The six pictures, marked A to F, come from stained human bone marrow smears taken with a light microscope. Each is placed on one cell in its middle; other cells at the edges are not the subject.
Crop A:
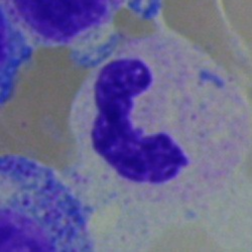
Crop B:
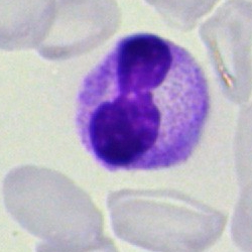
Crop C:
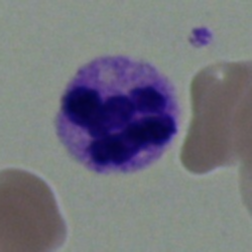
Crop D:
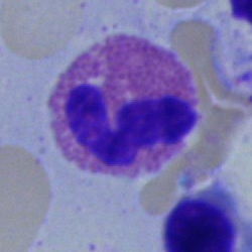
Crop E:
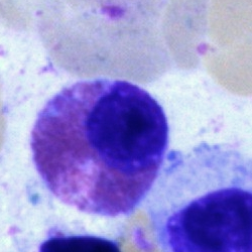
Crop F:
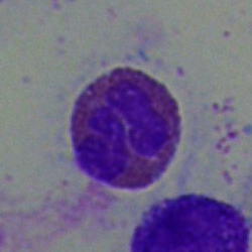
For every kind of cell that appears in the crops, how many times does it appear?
segmented neutrophil: 3
eosinophil: 3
